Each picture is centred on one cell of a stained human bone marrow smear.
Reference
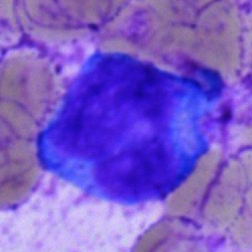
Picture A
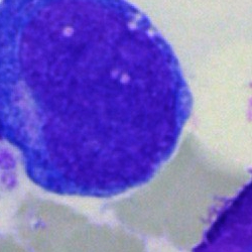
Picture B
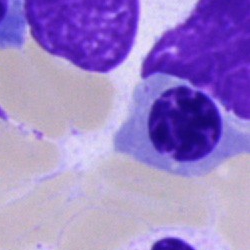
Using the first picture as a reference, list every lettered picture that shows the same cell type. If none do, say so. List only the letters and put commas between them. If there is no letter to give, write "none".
A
